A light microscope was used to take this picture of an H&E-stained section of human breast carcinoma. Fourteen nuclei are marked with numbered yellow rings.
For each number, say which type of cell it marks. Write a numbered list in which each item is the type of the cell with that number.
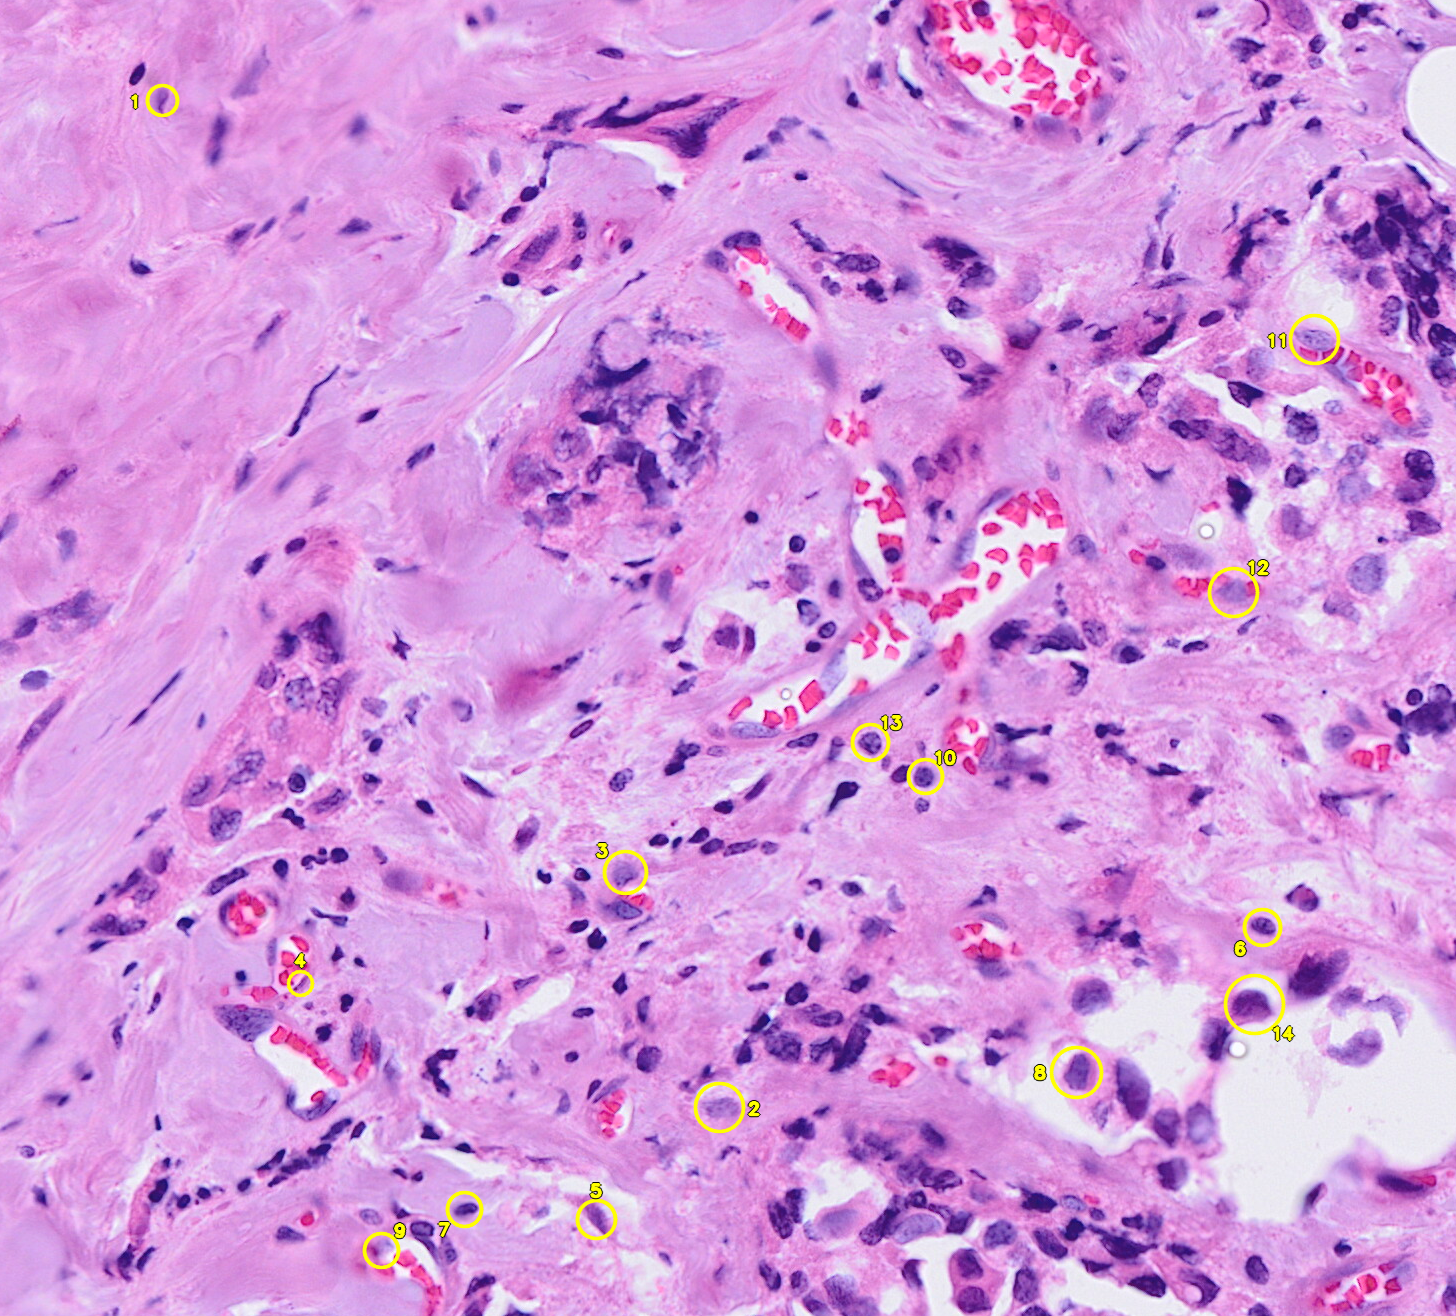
1. fibroblast
2. fibroblast
3. endothelial cell
4. endothelial cell
5. fibroblast
6. lymphocyte
7. lymphocyte
8. carcinoma cell
9. endothelial cell
10. lymphocyte
11. endothelial cell
12. endothelial cell
13. lymphocyte
14. carcinoma cell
